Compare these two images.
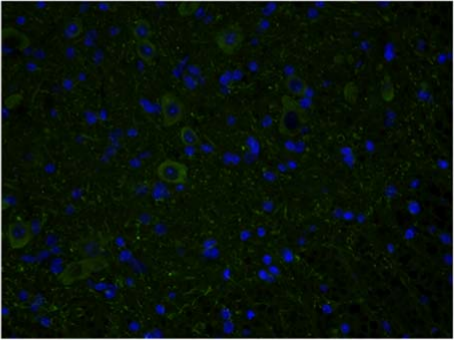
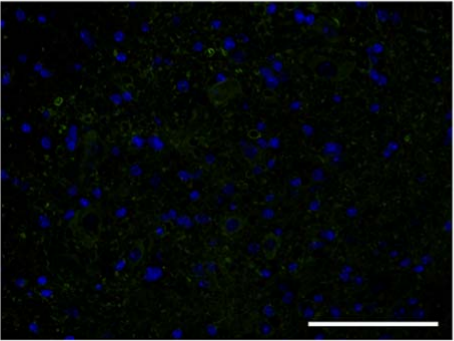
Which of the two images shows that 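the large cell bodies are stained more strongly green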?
the first image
